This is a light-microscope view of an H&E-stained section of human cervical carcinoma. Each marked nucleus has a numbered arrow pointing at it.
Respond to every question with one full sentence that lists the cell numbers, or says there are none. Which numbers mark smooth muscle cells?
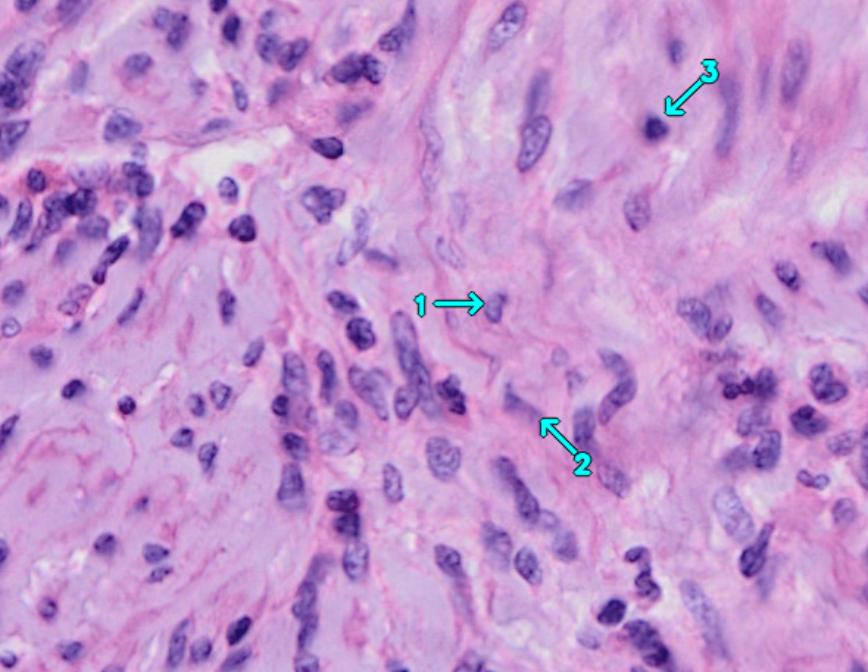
The cells identified by the numbers 1 and 2 are smooth muscle cells.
